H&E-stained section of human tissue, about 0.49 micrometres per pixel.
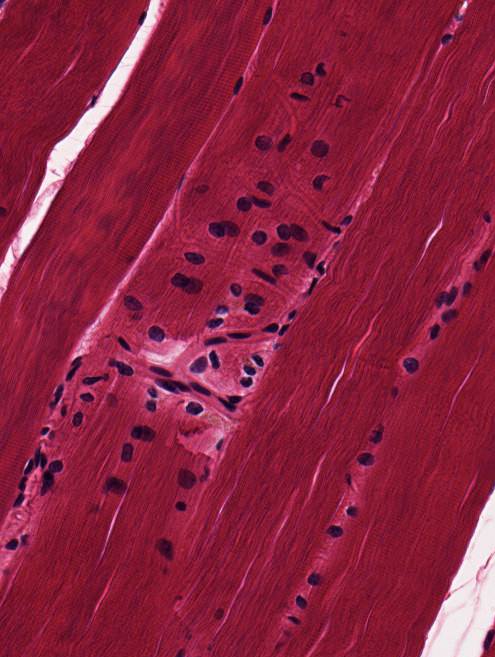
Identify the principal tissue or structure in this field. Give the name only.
skeletal muscle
